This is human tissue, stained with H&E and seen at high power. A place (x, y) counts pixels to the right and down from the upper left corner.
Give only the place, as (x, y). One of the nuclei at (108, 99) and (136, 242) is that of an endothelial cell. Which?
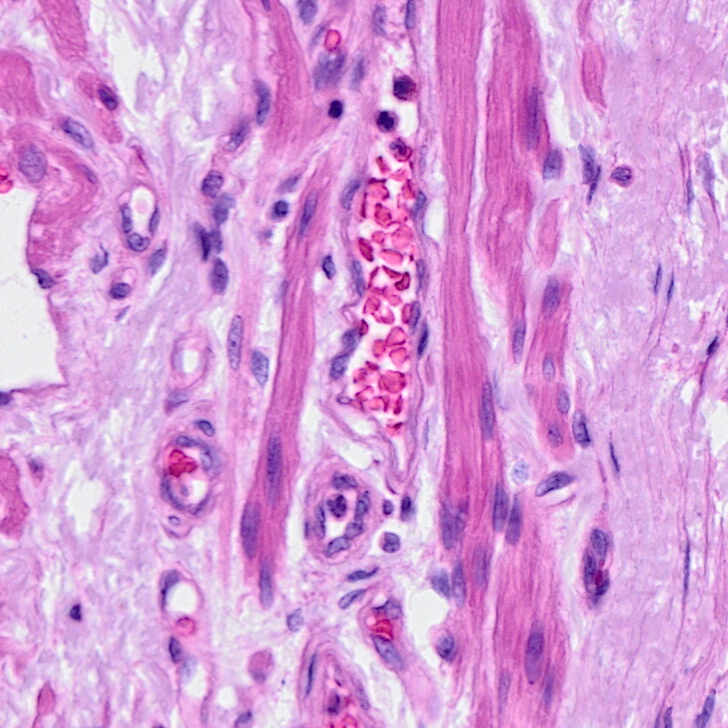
(136, 242)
